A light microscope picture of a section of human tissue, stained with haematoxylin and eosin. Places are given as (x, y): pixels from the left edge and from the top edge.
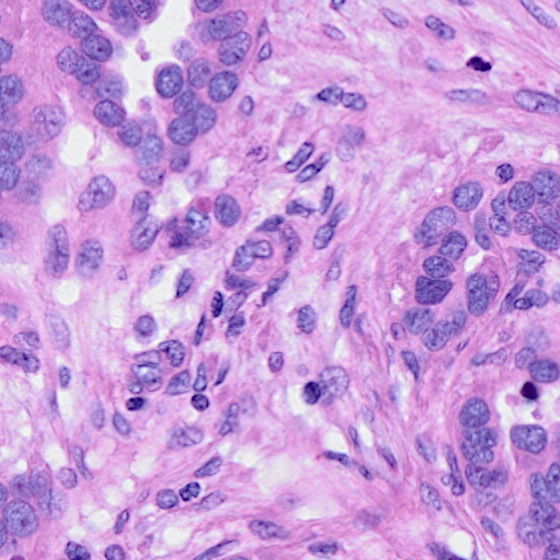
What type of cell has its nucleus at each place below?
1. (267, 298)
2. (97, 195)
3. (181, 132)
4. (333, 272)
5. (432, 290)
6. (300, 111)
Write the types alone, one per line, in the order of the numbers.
fibroblast
fibroblast
carcinoma cell
fibroblast
carcinoma cell
fibroblast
